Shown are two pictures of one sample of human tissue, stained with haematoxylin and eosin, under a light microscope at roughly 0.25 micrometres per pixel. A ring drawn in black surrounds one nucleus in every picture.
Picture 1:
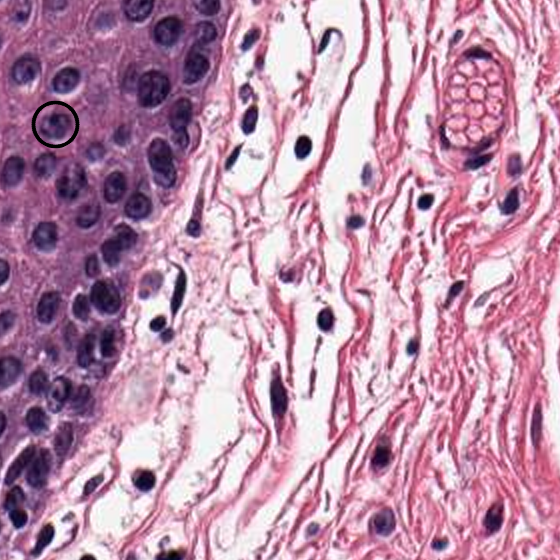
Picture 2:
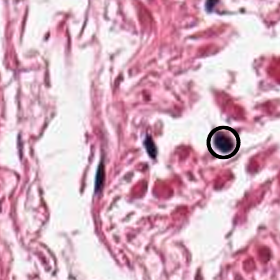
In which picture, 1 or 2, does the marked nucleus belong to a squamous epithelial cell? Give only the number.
1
